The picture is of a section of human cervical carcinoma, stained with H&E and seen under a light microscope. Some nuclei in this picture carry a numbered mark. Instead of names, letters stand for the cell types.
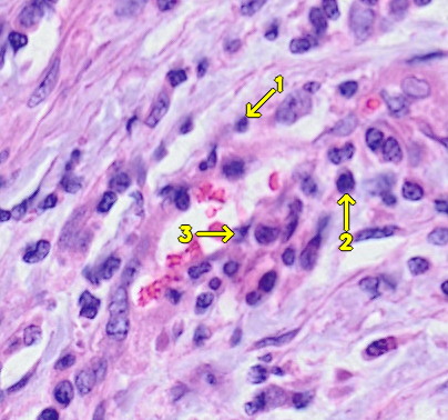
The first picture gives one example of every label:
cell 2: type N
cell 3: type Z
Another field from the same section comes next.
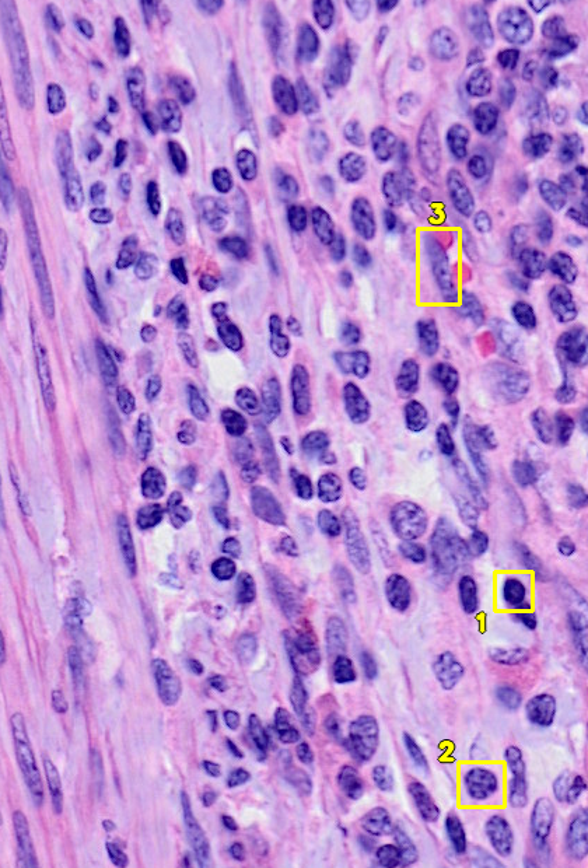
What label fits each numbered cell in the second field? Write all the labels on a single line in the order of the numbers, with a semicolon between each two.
type N; type N; type Z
